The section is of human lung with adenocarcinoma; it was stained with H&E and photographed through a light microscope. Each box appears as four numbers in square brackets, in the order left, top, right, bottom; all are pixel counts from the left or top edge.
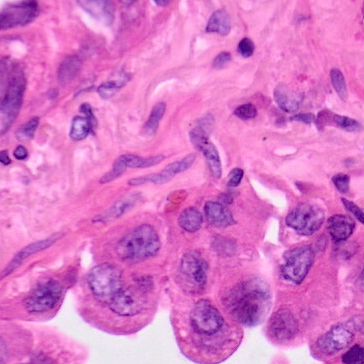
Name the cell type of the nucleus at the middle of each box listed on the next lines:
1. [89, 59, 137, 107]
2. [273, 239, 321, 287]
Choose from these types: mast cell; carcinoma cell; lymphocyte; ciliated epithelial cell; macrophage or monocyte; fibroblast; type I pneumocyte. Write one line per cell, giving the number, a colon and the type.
1: fibroblast
2: carcinoma cell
